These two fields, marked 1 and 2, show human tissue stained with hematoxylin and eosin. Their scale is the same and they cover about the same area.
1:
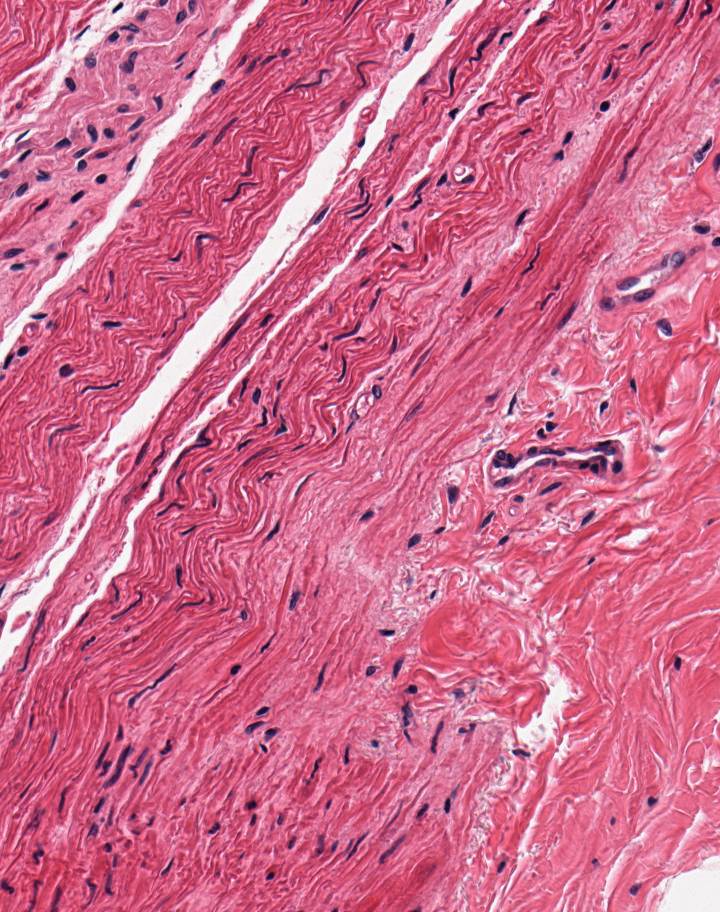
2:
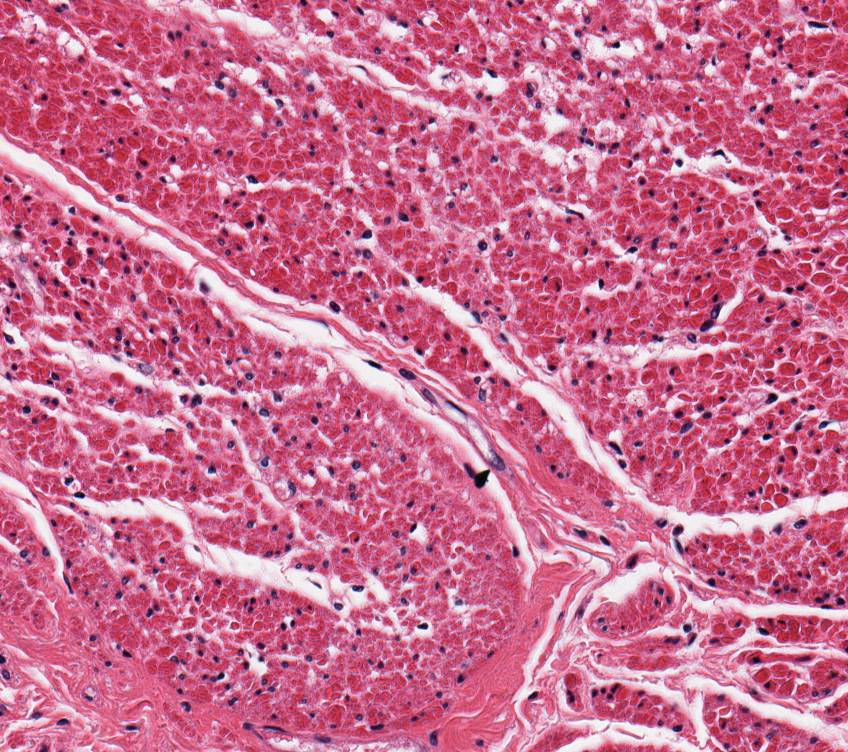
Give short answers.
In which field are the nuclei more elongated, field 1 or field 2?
1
